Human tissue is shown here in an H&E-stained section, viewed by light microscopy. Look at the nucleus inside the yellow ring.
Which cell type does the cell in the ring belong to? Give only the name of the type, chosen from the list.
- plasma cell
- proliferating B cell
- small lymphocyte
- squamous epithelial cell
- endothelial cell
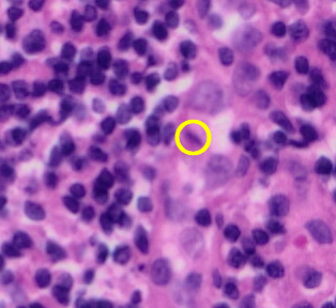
endothelial cell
